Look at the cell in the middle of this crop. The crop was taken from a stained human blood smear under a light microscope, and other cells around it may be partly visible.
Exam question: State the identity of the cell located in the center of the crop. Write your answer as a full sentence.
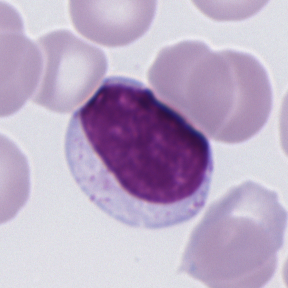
Standing at the centre of this crop is a large granular lymphocyte.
